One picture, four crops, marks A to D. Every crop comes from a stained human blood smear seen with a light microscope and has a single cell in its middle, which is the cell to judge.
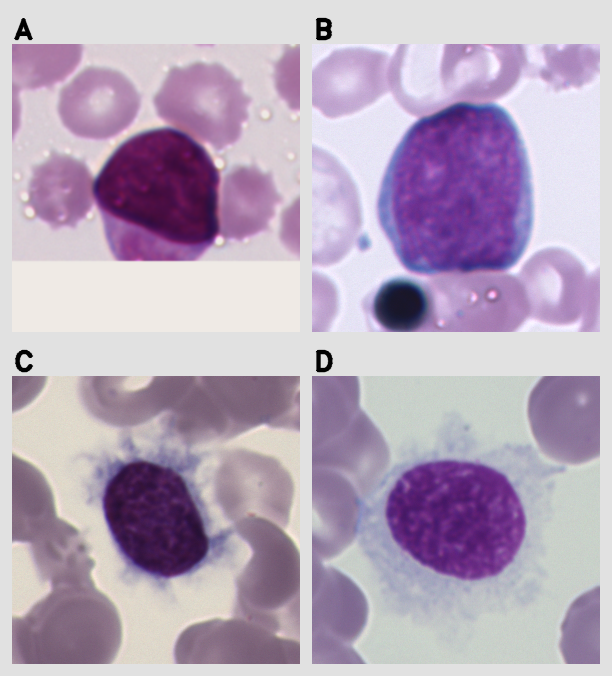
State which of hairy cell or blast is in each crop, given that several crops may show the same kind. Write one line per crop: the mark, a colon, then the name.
A: blast
B: blast
C: hairy cell
D: hairy cell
